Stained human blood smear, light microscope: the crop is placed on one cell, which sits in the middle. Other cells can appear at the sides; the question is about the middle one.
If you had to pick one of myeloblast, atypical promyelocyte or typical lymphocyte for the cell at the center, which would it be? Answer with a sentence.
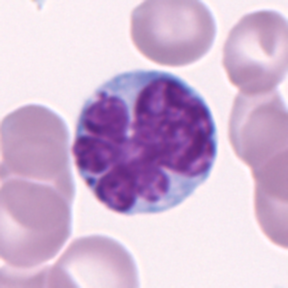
In the center of this field lies a myeloblast.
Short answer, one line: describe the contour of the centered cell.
Worth noting that the cell border is smooth and lacks projections.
